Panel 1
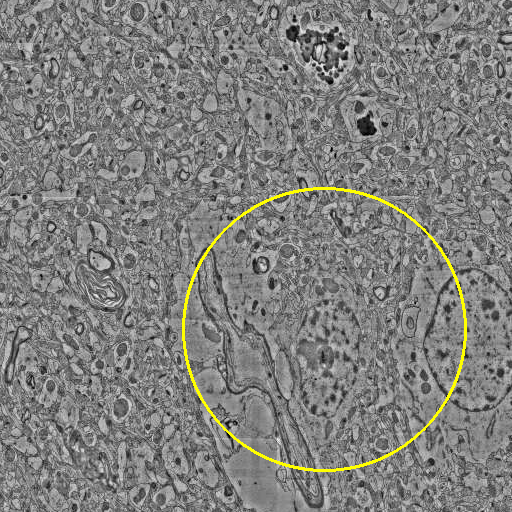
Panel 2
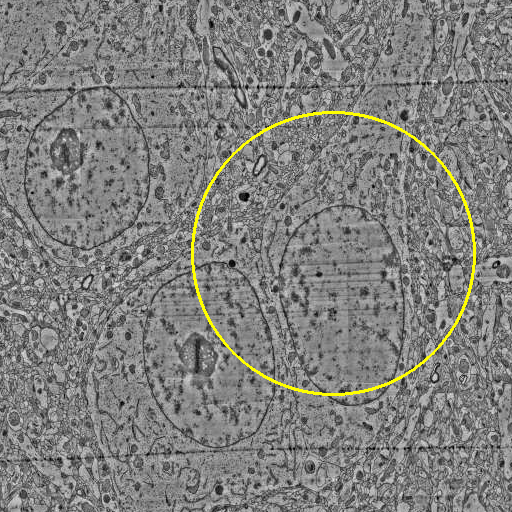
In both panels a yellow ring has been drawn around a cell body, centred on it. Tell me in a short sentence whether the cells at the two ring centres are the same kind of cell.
No, they are two kinds of cell.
